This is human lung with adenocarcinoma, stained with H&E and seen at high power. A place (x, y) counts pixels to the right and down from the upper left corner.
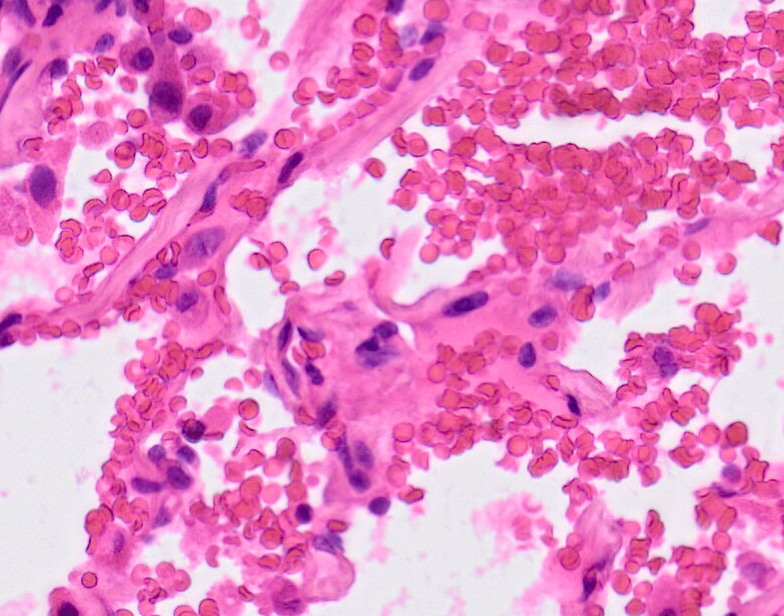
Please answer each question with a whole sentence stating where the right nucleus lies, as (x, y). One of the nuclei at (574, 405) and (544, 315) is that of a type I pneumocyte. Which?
The one nucleus of the two that belongs to a type I pneumocyte is at (544, 315).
